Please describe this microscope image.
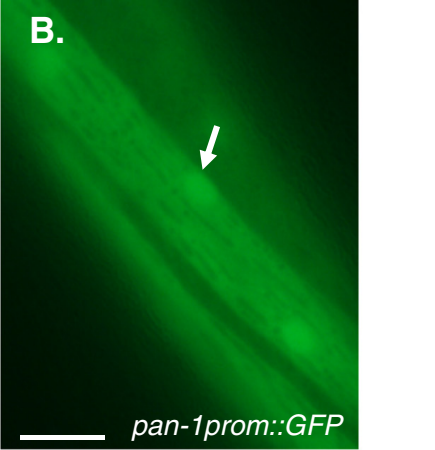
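This shows the body wall muscle of a nematode, running diagonally across the field as long bands of cells. The bands carry fine parallel striations along their length. A rounded, slightly brighter oval body within one band is a muscle cell nucleus, and a second similar rounded body is seen further down. The fluorescence fills the muscle cells fairly evenly.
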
